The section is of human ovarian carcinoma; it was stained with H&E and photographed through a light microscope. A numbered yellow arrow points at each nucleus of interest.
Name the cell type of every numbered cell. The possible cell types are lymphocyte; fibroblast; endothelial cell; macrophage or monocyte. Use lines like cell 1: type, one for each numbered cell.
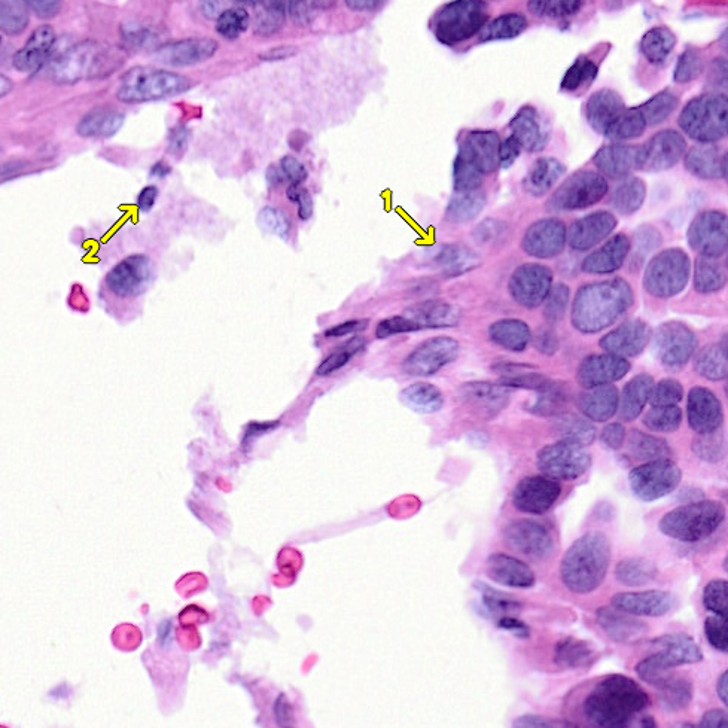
cell 1: fibroblast
cell 2: lymphocyte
